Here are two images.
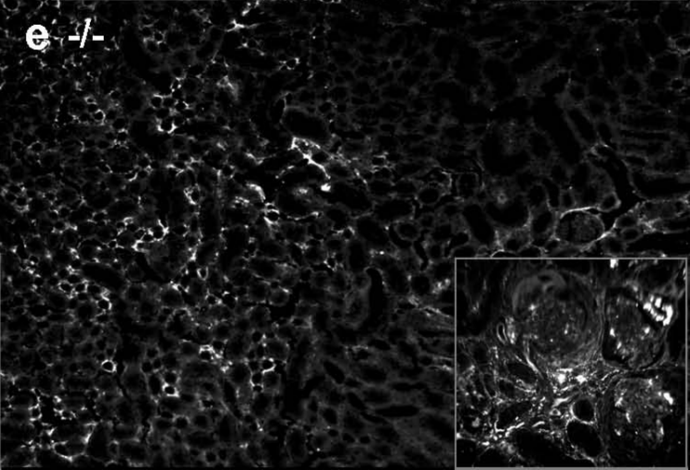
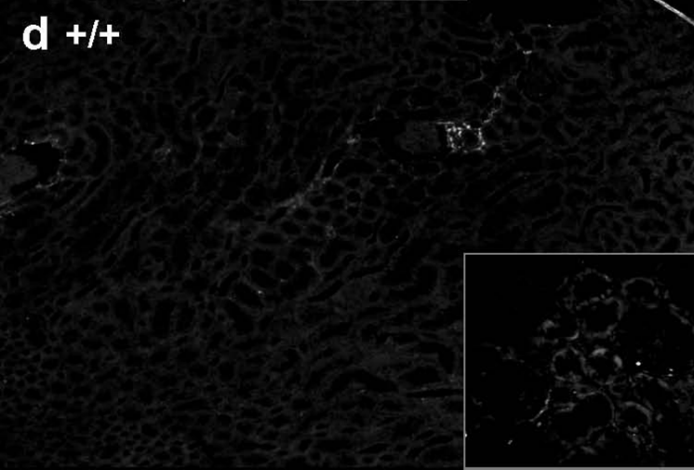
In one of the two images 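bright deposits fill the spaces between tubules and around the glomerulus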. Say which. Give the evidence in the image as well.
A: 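The first image. First image: bright, patchy signal outlines many tubules and fills the spaces between them, and the inset shows bright irregular deposits around a glomerular tuft.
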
